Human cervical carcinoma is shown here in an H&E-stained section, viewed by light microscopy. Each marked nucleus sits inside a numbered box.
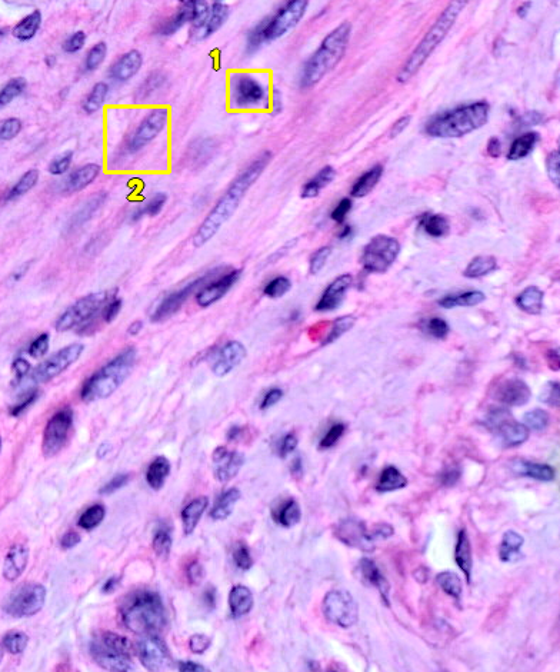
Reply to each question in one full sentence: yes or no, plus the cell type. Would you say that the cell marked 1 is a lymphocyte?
Yes, the cell pointed out as number 1 is a lymphocyte.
